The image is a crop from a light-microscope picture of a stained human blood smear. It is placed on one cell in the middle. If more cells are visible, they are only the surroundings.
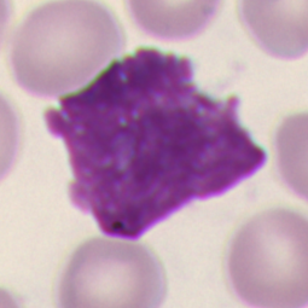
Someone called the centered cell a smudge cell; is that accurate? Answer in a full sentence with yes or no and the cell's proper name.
Yes, shown in the middle of the crop is a smudge cell.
